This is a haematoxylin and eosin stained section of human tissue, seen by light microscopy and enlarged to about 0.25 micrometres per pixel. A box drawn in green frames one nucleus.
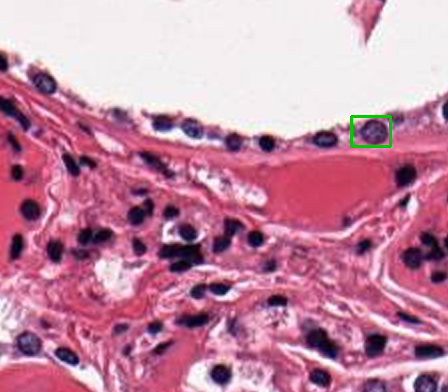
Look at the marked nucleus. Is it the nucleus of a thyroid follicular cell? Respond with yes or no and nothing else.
yes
